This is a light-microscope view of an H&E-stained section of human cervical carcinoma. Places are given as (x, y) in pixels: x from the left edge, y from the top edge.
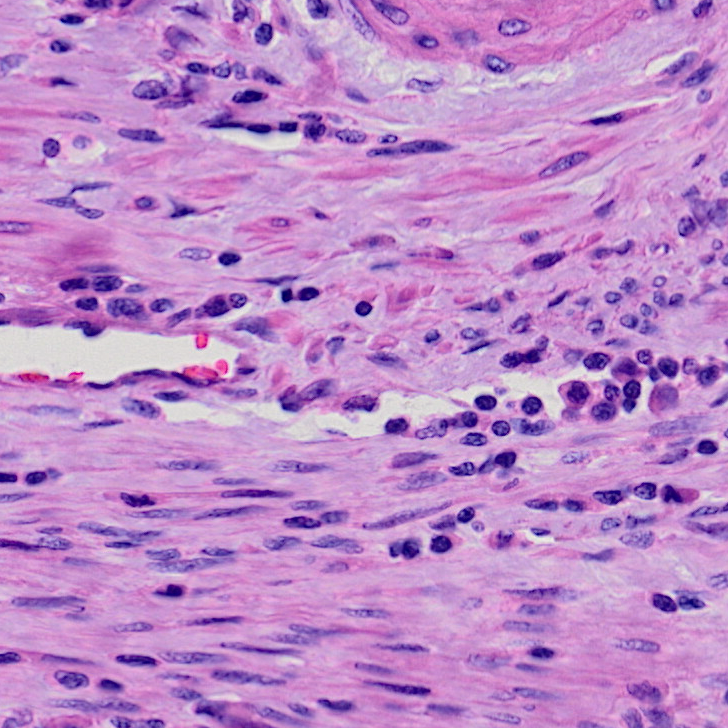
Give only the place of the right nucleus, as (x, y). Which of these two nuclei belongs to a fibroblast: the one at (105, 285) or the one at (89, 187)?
(89, 187)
